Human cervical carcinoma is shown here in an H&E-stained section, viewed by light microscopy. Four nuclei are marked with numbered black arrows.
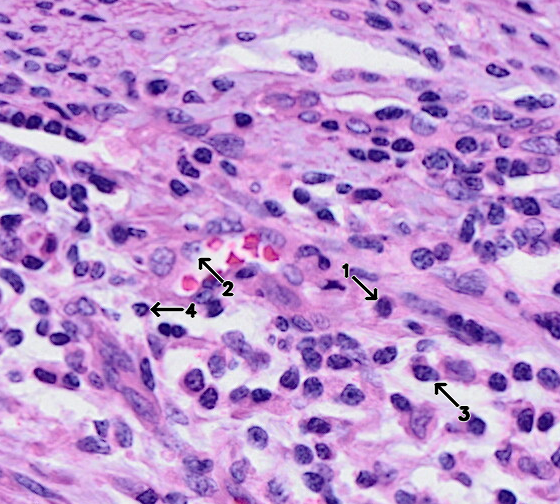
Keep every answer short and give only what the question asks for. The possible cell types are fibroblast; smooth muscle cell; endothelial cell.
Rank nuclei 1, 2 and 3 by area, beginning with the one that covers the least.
1, 2, 3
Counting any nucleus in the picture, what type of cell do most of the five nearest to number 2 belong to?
endothelial cell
